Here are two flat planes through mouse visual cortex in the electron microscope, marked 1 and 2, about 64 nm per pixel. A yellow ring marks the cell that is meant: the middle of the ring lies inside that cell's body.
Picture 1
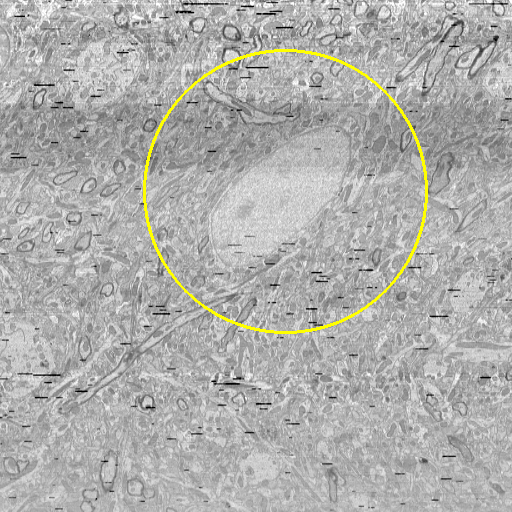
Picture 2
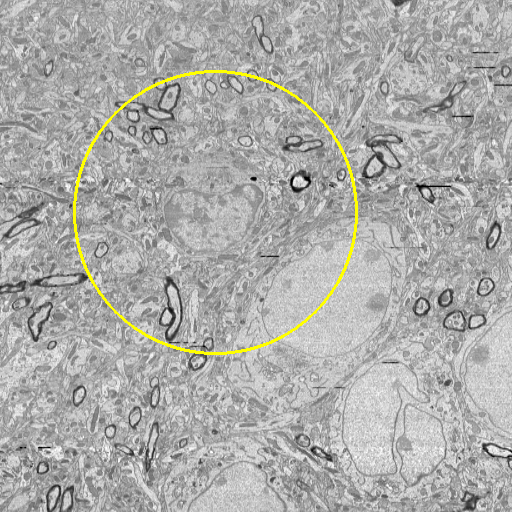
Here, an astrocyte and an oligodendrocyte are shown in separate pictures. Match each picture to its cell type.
Picture 2 shows an oligodendrocyte, while picture 1 shows an astrocyte.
